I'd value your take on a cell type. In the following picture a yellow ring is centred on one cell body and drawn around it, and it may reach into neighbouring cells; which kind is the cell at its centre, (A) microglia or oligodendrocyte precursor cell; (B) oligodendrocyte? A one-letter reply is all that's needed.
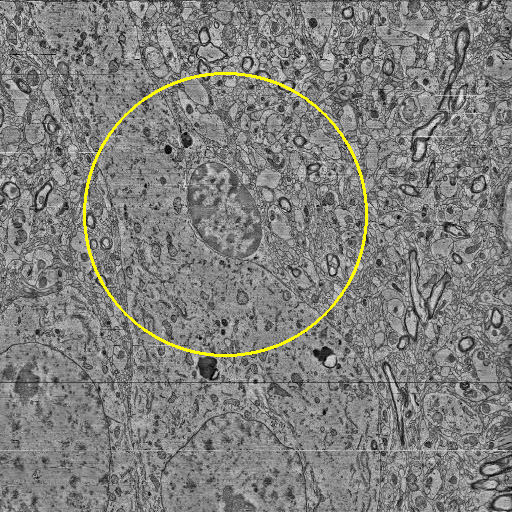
A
